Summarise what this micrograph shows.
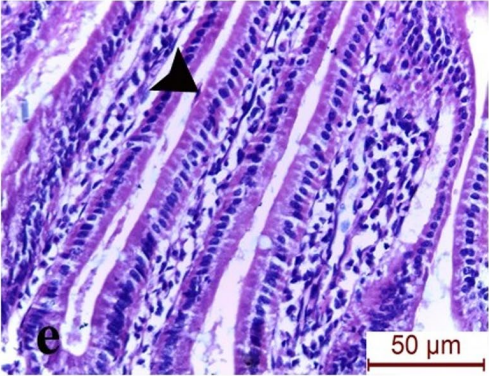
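This section of small intestine shows tall, regular villi arranged in parallel, lined by a single layer of columnar epithelial cells. The epithelium has a continuous pink brush border along its luminal surface. The epithelial nuclei are elongated, dark purple and aligned in a row near the base of the cells, giving the lining an orderly appearance. The villous cores are filled with densely packed connective tissue cells with small, dark nuclei. Clear lumen spaces separate the neighbouring villi.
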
